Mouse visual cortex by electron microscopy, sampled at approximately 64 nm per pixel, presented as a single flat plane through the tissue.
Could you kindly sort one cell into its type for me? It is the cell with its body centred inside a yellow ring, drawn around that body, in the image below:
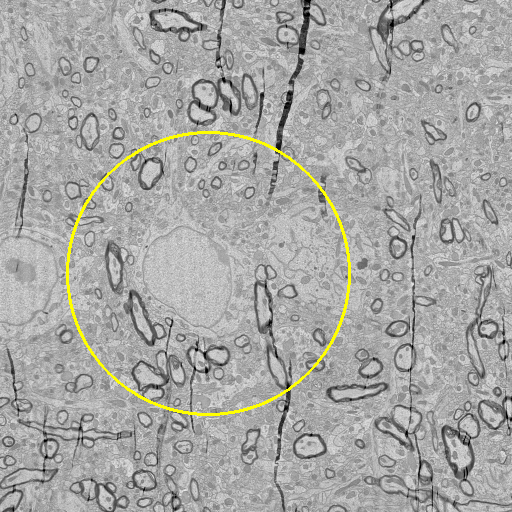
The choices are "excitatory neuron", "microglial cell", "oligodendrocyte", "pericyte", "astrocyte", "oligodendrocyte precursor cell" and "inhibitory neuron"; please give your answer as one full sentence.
The cell whose body lies centred in the yellow ring here is an oligodendrocyte precursor cell.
